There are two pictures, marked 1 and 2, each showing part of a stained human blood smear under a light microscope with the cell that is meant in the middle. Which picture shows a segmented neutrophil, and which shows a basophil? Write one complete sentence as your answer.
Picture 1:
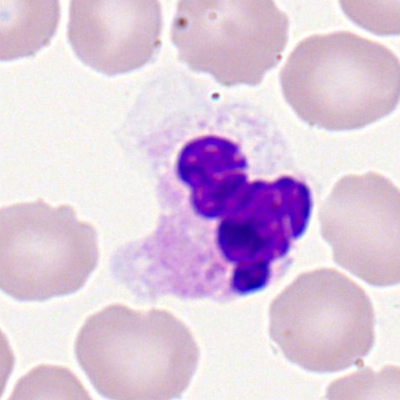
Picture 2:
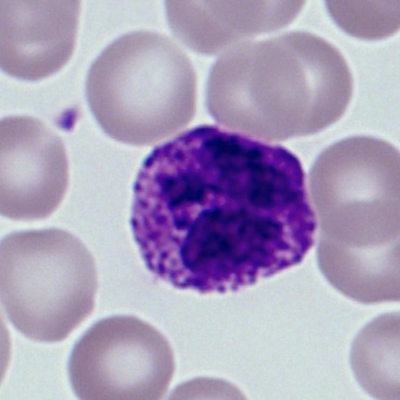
In picture 1 the cell is a segmented neutrophil; in picture 2, a basophil.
